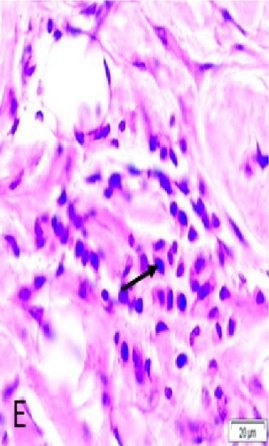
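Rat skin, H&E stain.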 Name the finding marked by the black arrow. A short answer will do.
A: inflammatory cells infiltrated in the dermis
